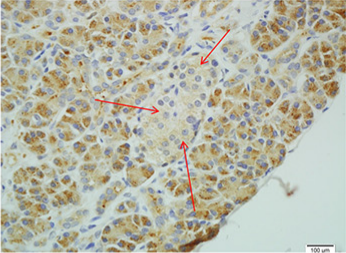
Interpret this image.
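This high-power view shows a small group of islet cells lying among surrounding glandular cells. The islet cells have pale, almost unstained cytoplasm and round blue nuclei, and they form a loose cluster. The cells around them are larger, with plentiful brown, granular cytoplasm and small blue nuclei, so the islet stands out as a pale island.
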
